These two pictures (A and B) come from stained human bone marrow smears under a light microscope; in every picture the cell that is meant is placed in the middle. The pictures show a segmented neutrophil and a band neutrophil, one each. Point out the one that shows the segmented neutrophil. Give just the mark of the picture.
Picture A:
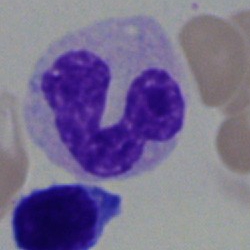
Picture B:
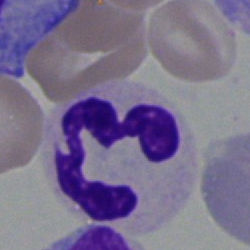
B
